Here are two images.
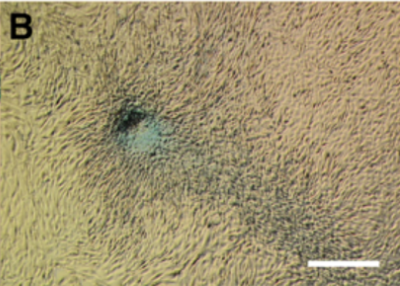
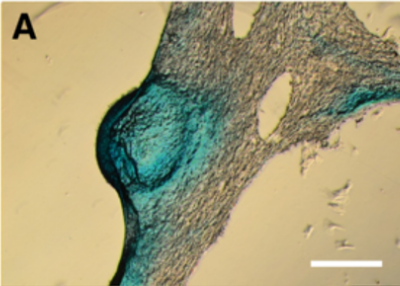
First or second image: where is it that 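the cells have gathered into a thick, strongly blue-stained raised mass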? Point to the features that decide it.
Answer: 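First image: a flat sheet of spindle-shaped cells with only a small faint blue focus. Second image: a dense rounded mass of cells stained deep blue-green at the edge of the cell sheet.
Conclusion: the second image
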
